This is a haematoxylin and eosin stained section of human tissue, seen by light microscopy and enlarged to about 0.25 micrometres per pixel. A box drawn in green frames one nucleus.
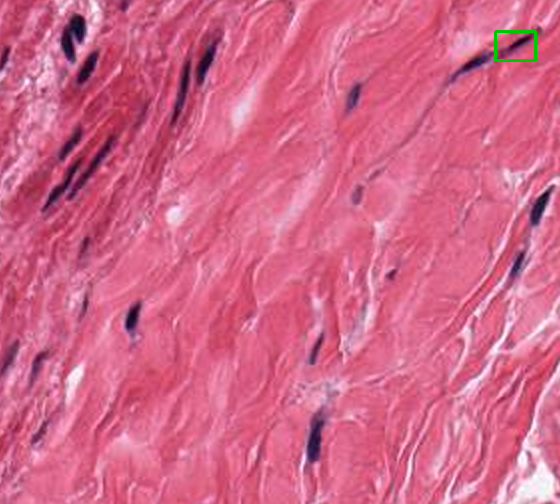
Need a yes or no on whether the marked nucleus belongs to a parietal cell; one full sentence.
No, the marked nucleus is not from a parietal cell; a supporting cell is its source.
